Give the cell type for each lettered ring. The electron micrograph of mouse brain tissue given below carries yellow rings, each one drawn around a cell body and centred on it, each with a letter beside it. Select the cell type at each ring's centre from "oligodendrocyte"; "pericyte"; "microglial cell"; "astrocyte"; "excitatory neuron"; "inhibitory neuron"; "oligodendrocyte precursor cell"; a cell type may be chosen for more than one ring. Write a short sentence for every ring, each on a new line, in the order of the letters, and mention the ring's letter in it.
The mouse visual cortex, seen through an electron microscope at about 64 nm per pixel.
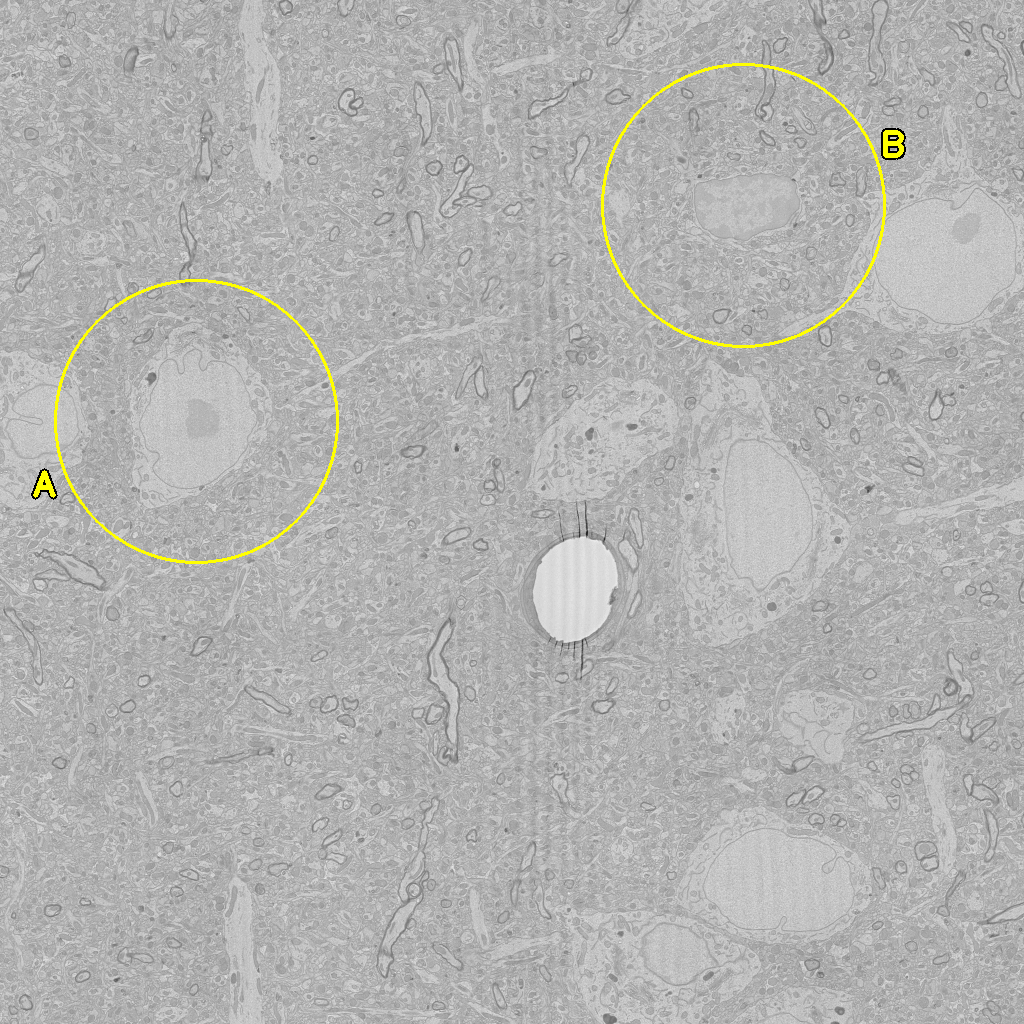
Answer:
The cell type for ring A is an excitatory neuron.
The cell type for ring B is a microglial cell.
